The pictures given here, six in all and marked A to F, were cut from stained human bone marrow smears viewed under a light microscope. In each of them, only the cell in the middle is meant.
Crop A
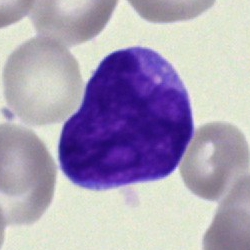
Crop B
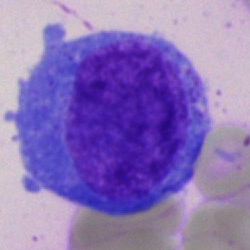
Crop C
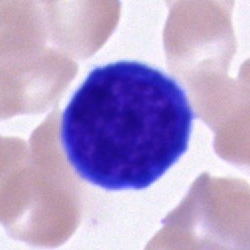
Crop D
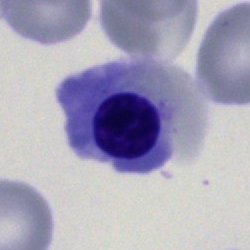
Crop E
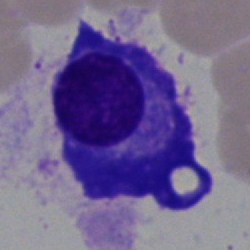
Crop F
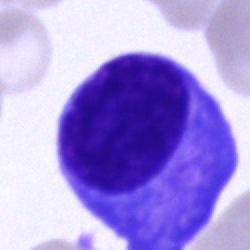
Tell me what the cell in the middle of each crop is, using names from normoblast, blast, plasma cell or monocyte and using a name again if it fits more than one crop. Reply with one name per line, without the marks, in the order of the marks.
blast
blast
normoblast
normoblast
plasma cell
plasma cell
